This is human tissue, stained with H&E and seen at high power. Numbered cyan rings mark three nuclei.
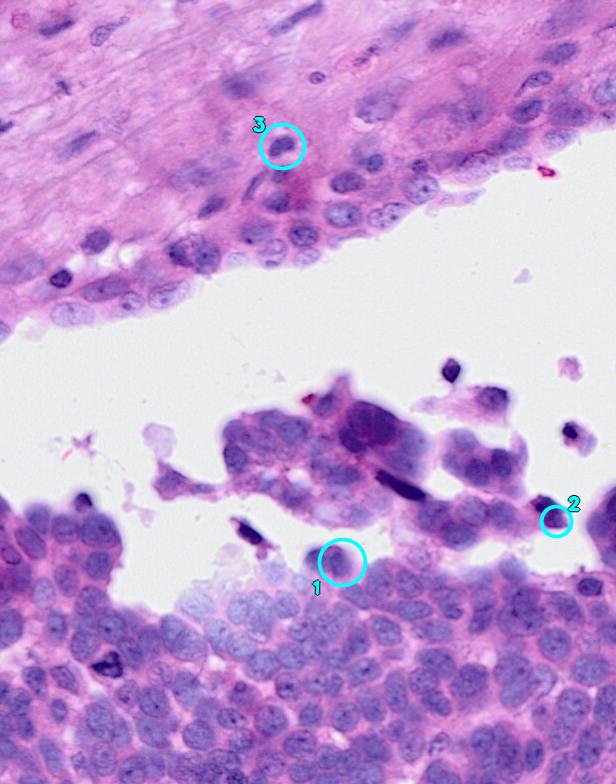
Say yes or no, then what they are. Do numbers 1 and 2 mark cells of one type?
Yes, the two cells marked 1 and 2 are both carcinoma cells.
